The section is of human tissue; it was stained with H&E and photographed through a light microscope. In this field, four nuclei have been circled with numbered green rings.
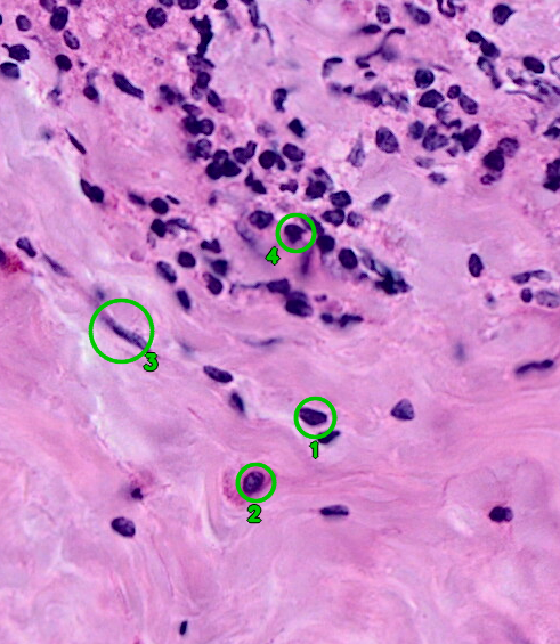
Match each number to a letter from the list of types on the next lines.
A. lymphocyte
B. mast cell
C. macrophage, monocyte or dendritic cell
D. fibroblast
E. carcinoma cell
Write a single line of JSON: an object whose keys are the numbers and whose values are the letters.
{"1": "A", "2": "B", "3": "D", "4": "A"}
